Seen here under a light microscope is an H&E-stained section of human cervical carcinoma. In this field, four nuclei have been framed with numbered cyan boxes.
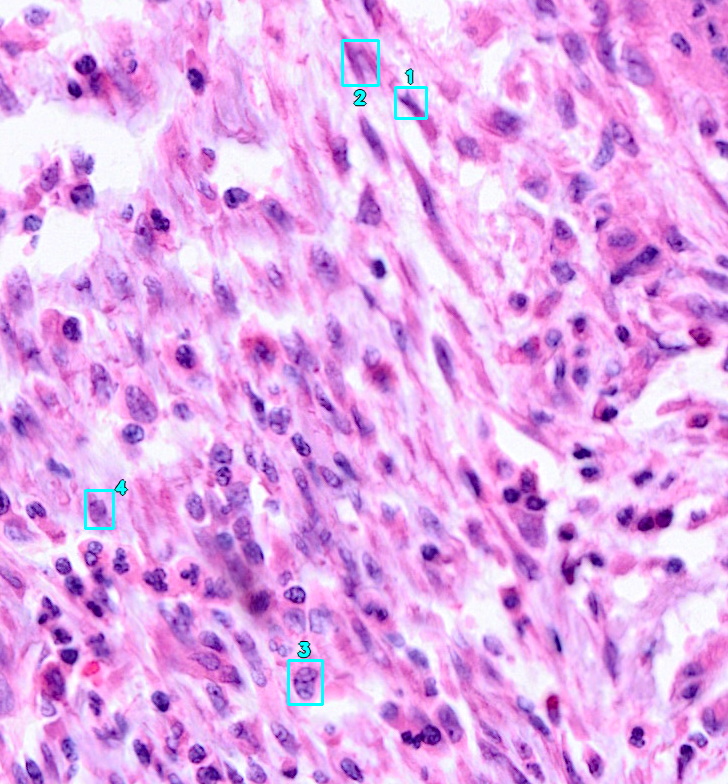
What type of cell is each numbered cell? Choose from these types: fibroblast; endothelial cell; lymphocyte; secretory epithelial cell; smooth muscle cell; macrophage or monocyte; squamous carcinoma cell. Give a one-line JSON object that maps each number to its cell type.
{"1": "fibroblast", "2": "fibroblast", "3": "macrophage or monocyte", "4": "fibroblast"}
